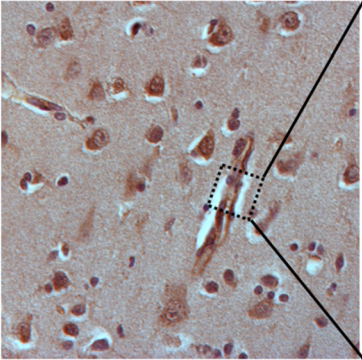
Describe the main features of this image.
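This is cerebral cortex with brown-stained neurons and a small blood vessel. Neuronal cell bodies, several pyramidal or rounded, are scattered through a pale brown neuropil, their cytoplasm stained brown around purple nuclei. Smaller round purple nuclei of glial cells lie between them, some with clear halos around them. A narrow vessel cut lengthwise runs diagonally through the centre, its walls stained brown and lined by elongated nuclei.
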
